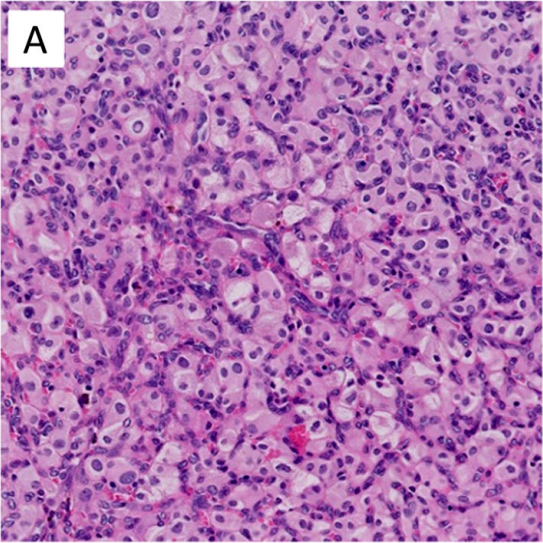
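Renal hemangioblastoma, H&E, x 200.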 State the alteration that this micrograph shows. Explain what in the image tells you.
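Many polygonal cells have pink, glassy cytoplasm. Cells are packed in sheets with round central nuclei. So: eosinophilic cytoplasm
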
